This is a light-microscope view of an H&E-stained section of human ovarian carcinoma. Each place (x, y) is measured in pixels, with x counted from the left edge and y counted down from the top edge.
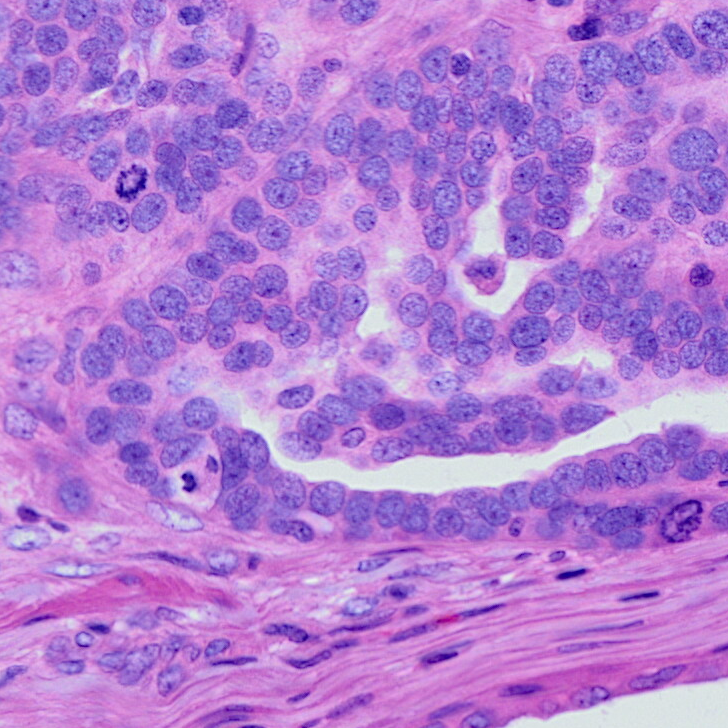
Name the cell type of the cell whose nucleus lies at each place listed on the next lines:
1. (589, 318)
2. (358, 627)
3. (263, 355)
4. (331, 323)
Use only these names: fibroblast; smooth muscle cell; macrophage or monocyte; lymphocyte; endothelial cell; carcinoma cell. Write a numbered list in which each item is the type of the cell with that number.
1. carcinoma cell
2. fibroblast
3. carcinoma cell
4. carcinoma cell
